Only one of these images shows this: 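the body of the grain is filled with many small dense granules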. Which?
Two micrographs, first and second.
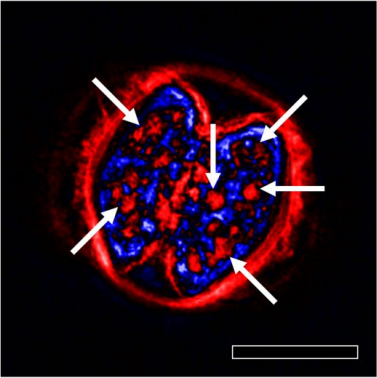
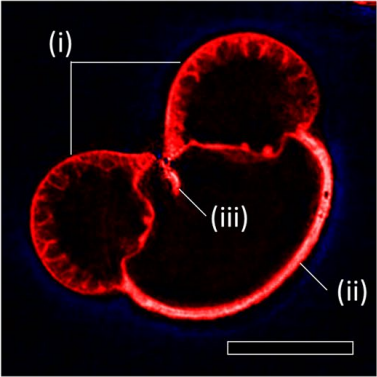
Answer: the first image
